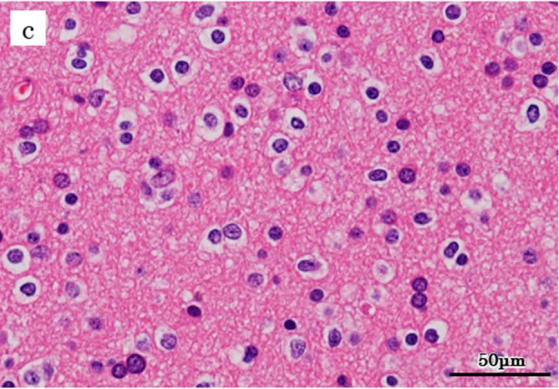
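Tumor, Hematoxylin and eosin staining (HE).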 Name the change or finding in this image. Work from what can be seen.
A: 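Many cells have round, fairly uniform dark purple nuclei. Most nuclei are surrounded by a clear perinuclear halo. The cells lie scattered in a pale pink fibrillary background. That points to this answer: Oligodendroglioma.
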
